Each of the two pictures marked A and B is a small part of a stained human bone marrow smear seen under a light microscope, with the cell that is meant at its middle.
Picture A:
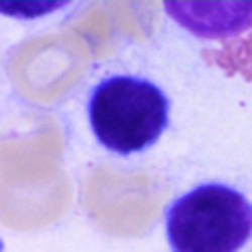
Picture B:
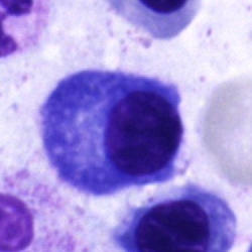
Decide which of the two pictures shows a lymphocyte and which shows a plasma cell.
A: lymphocyte
B: plasma cell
